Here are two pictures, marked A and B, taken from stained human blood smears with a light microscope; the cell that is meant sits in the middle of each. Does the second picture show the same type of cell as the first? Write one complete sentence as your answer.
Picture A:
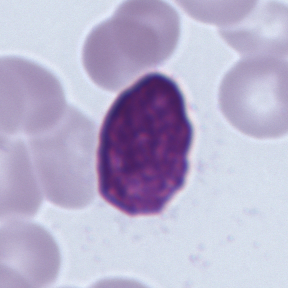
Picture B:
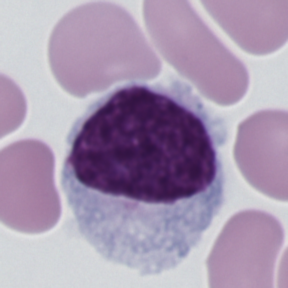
No, the types are not the same, since picture A shows a smudge cell and picture B a hairy cell.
